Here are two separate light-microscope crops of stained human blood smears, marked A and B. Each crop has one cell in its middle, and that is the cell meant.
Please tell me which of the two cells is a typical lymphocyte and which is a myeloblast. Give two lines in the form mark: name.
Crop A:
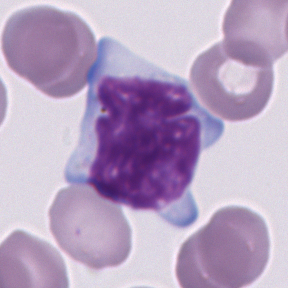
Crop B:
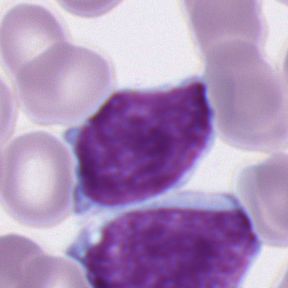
A: myeloblast
B: typical lymphocyte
